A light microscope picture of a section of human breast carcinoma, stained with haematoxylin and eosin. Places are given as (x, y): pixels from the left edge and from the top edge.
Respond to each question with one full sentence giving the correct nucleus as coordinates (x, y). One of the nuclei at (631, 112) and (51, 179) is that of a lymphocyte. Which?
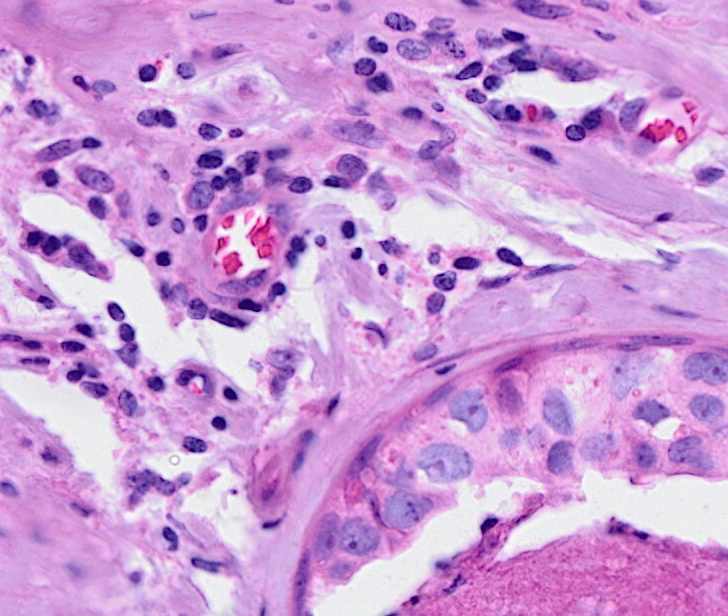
Identify the nucleus at (51, 179) as the one belonging to a lymphocyte.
